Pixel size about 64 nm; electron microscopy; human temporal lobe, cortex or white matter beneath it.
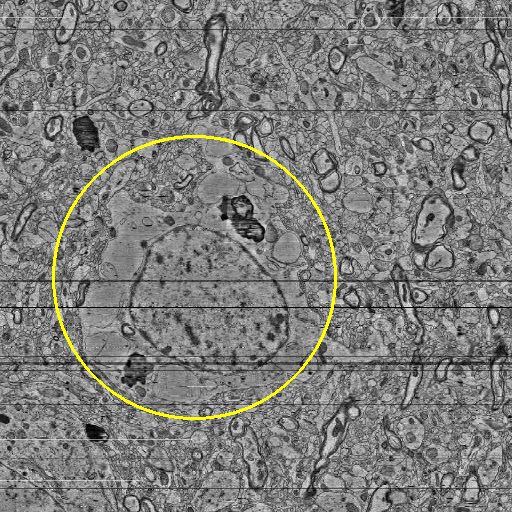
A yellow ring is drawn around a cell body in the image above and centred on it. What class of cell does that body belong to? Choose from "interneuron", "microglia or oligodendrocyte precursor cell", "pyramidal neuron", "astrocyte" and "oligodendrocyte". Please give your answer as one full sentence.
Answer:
The yellow ring above is centred on the cell body of an astrocyte.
